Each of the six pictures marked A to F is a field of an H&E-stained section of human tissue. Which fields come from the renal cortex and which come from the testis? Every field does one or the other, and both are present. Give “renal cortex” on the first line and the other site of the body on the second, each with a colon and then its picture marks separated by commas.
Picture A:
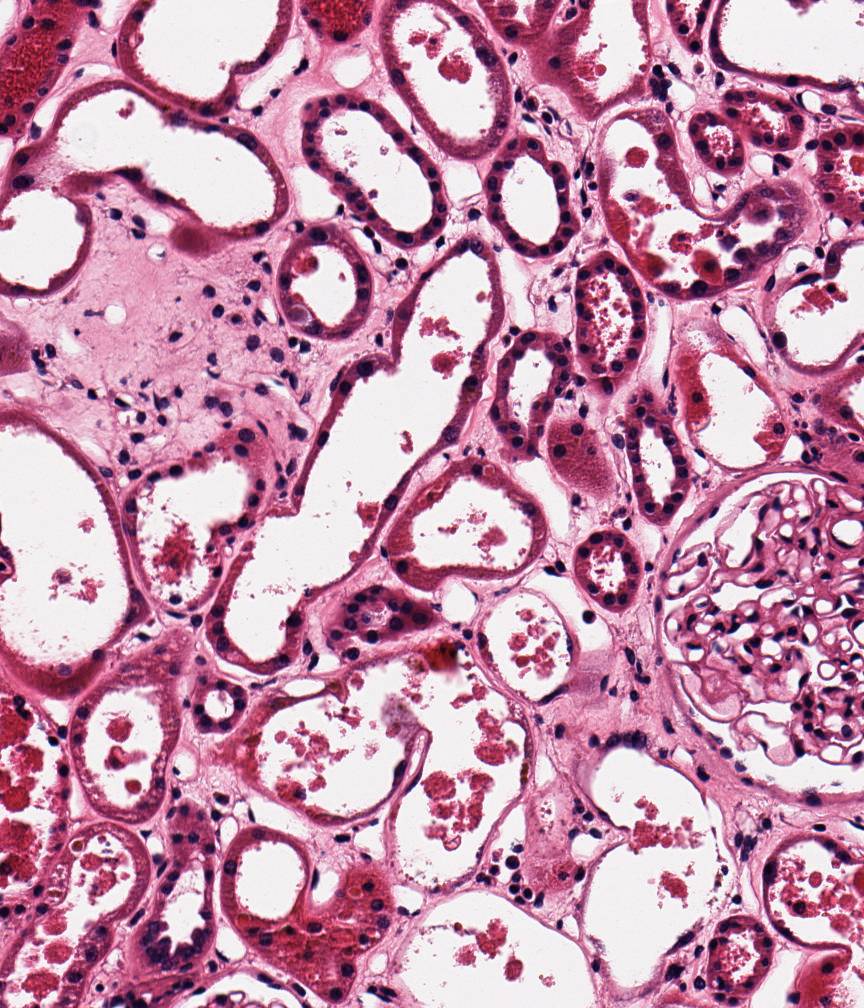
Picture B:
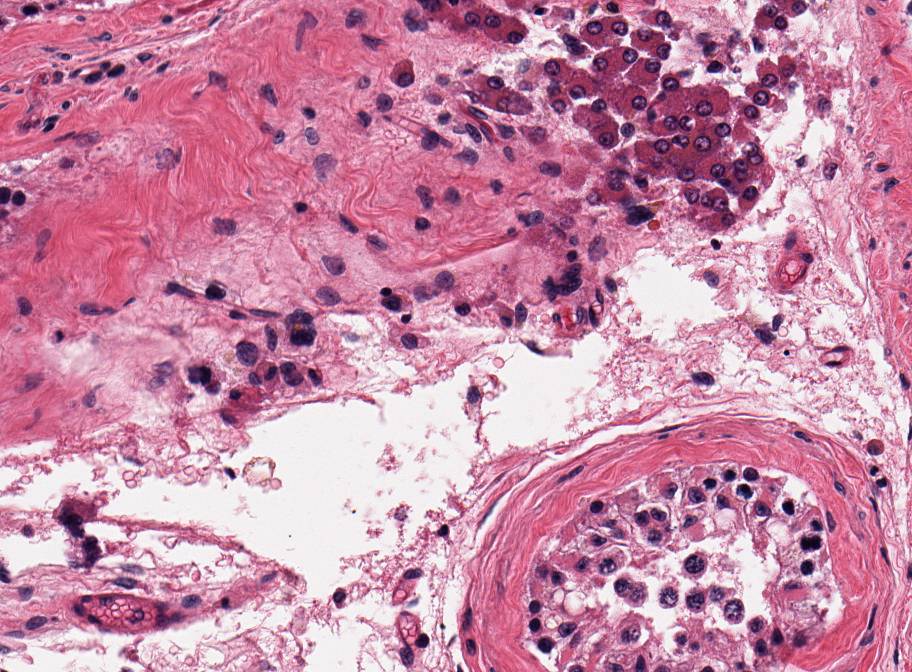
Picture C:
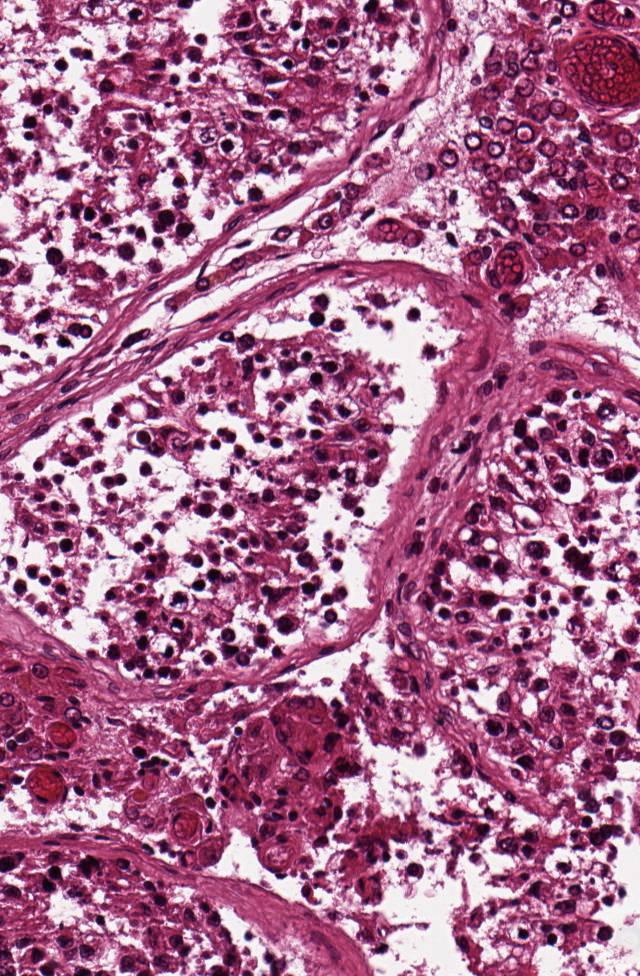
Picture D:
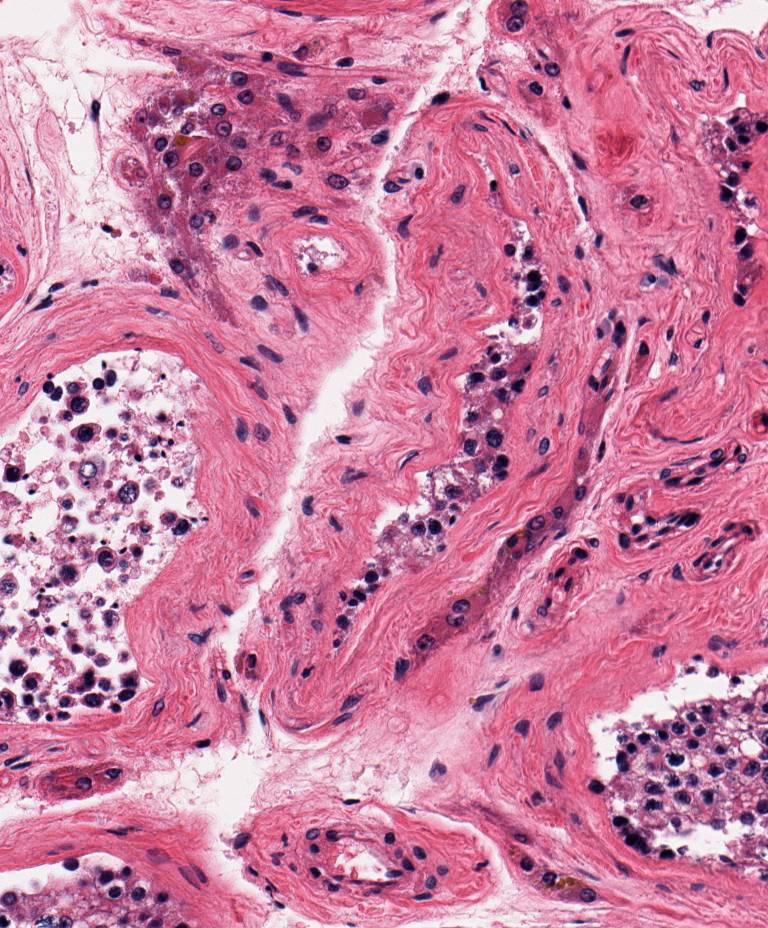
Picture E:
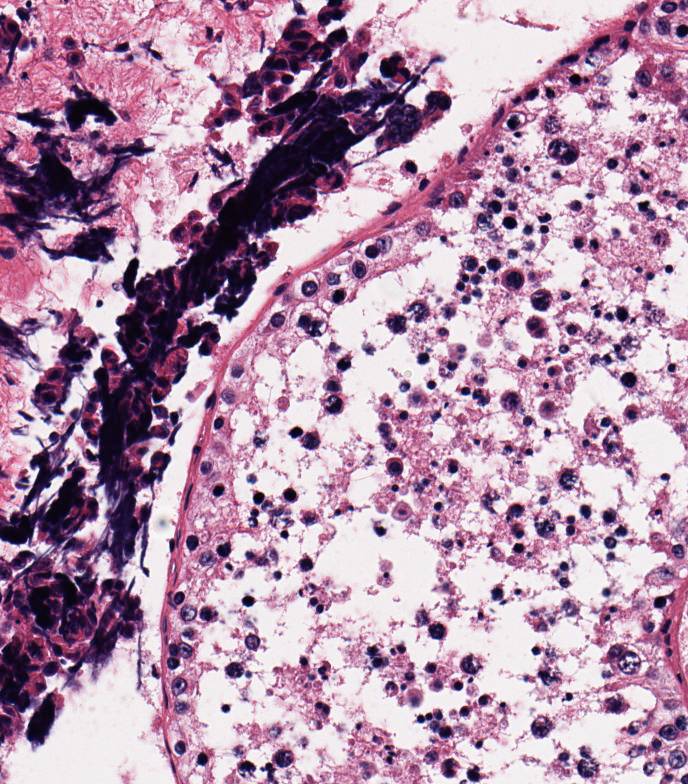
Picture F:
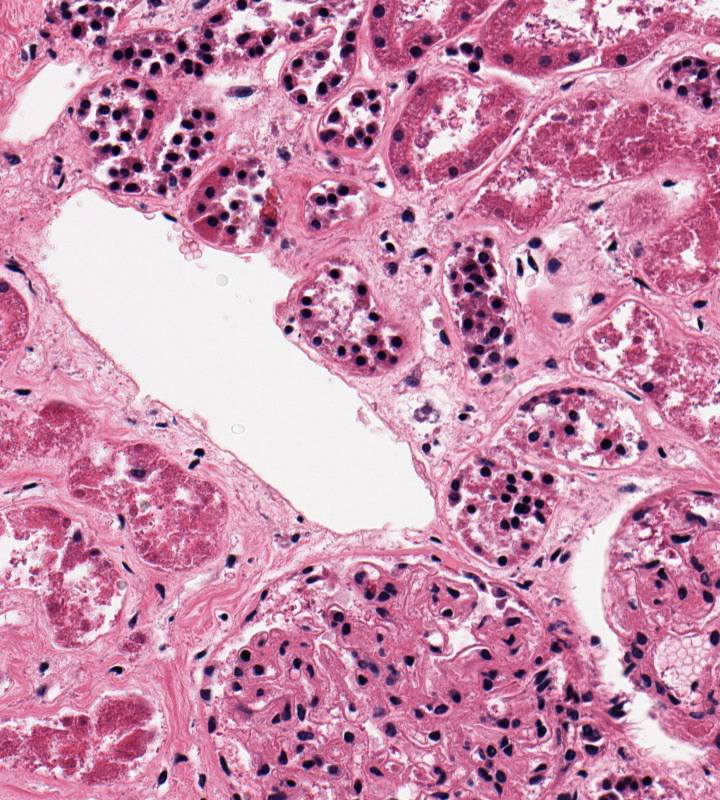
renal cortex: A, F
testis: B, C, D, E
